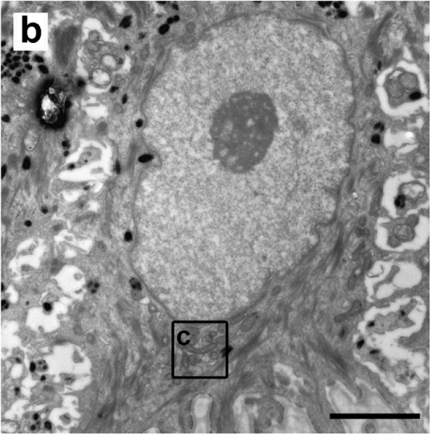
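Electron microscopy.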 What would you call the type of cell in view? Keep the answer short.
keratinocyte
